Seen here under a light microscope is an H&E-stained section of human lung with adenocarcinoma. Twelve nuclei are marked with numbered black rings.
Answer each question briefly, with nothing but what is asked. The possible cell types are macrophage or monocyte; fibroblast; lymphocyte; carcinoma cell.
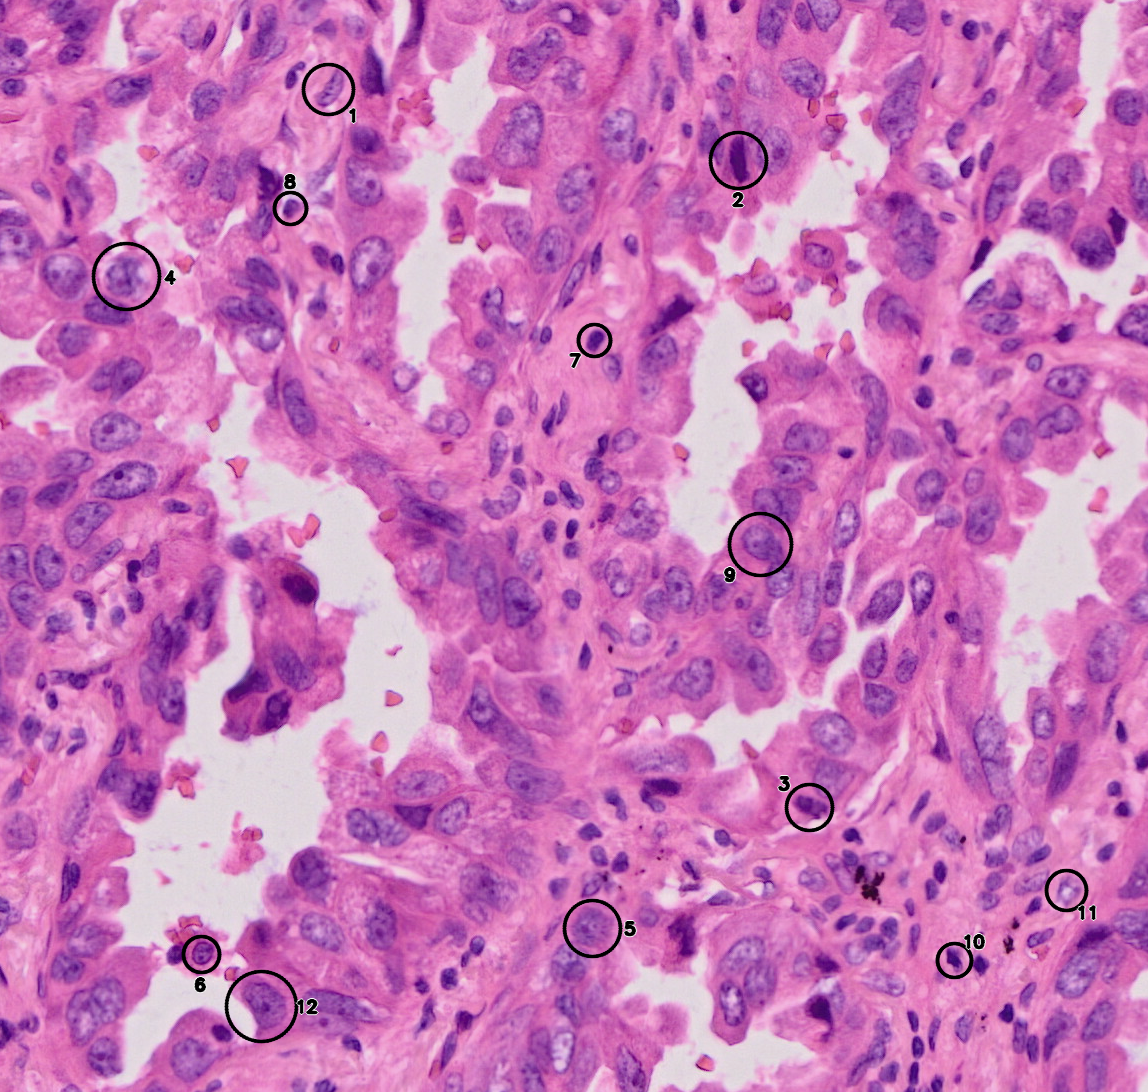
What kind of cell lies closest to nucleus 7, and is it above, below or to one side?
a fibroblast below and to the right of nucleus 7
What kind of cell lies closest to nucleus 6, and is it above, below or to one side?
a lymphocyte to the left of nucleus 6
